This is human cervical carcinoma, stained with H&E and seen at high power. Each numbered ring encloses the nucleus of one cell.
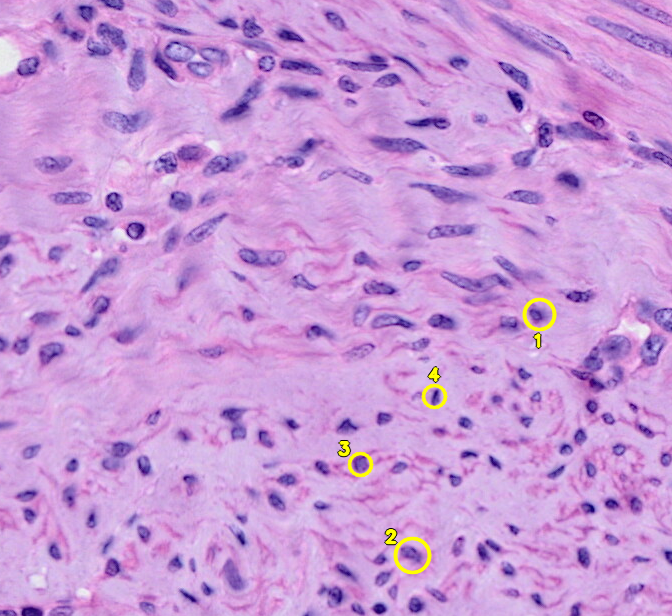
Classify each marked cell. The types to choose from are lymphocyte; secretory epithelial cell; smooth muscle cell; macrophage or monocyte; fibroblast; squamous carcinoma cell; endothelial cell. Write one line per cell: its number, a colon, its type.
1: smooth muscle cell
2: smooth muscle cell
3: smooth muscle cell
4: fibroblast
